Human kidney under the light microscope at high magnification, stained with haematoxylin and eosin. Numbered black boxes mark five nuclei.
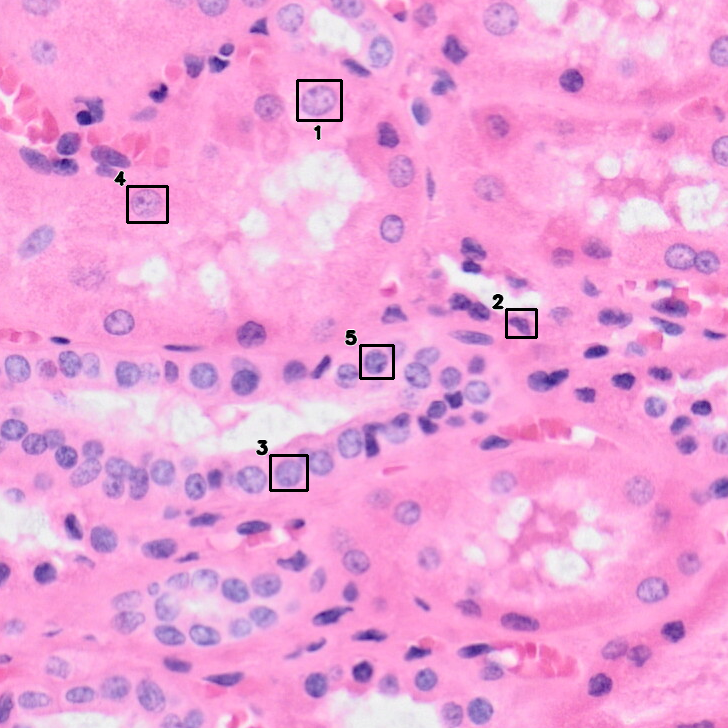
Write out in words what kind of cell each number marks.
Cell 1 is a proximal tubule cell, cell 2 is a loop of Henle or distal tubule cell, cell 3 is a collecting duct cell, cell 4 is a proximal tubule cell and cell 5 is a collecting duct cell.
